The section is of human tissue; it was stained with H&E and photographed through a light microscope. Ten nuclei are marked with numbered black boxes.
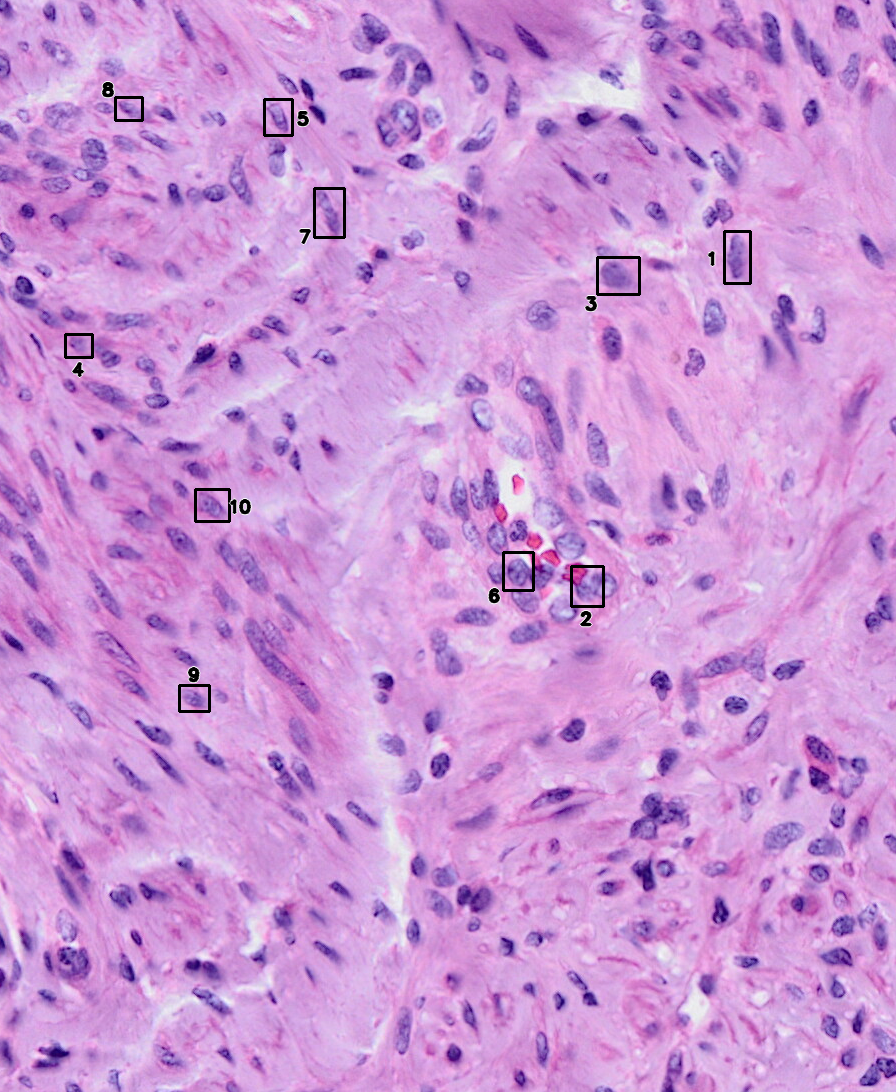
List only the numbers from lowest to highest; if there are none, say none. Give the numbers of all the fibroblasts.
1, 3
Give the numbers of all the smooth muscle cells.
4, 5, 7, 8, 9, 10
